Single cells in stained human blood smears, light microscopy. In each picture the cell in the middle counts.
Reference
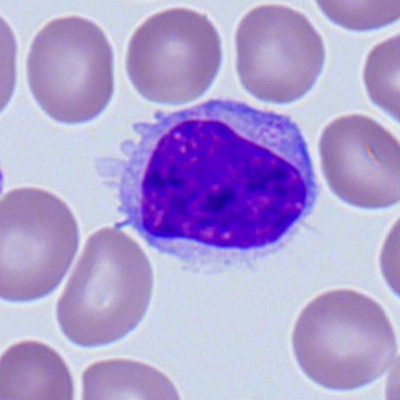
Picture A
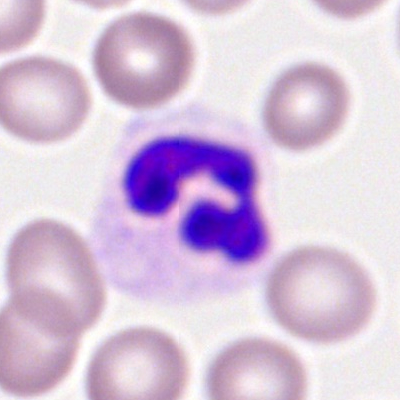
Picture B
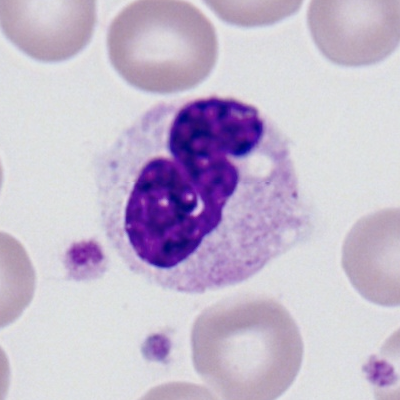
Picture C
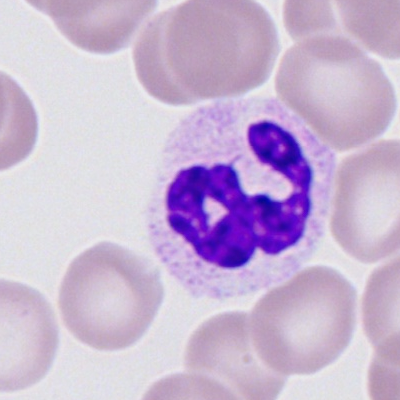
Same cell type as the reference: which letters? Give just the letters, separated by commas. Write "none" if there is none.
none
